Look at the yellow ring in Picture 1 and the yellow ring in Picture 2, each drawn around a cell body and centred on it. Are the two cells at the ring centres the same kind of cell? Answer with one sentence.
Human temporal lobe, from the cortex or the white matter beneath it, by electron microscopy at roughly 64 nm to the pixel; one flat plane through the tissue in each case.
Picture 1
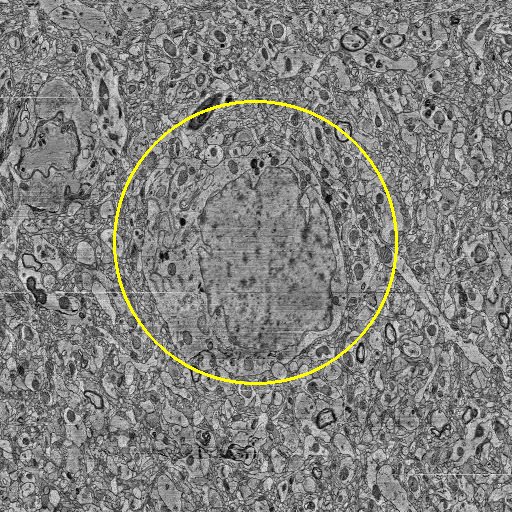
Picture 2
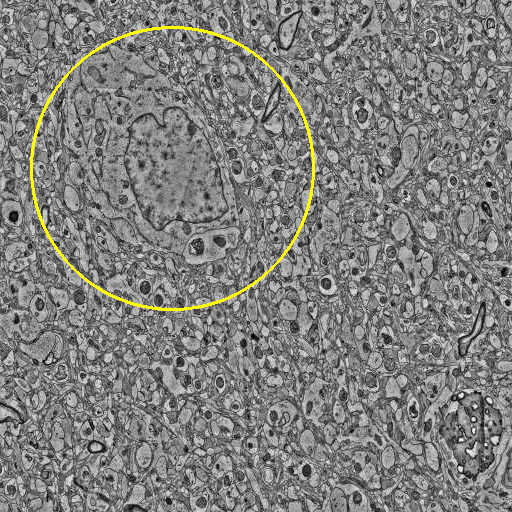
Yes, both are the same kind of cell.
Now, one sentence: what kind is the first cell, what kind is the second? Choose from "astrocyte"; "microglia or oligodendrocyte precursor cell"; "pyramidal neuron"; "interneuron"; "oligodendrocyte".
Both pictures show an interneuron at the centre of the ring.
